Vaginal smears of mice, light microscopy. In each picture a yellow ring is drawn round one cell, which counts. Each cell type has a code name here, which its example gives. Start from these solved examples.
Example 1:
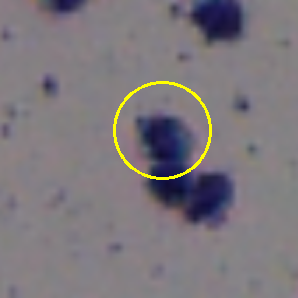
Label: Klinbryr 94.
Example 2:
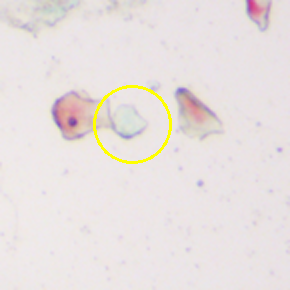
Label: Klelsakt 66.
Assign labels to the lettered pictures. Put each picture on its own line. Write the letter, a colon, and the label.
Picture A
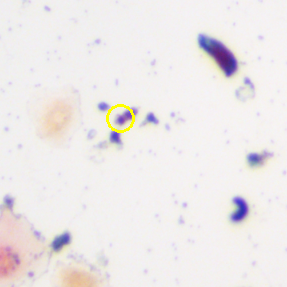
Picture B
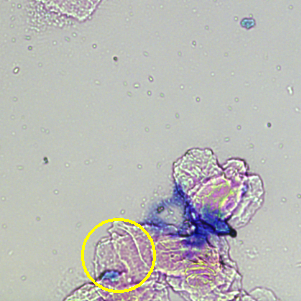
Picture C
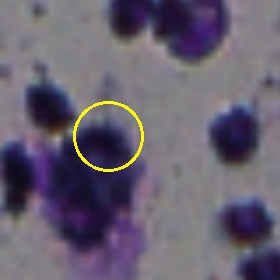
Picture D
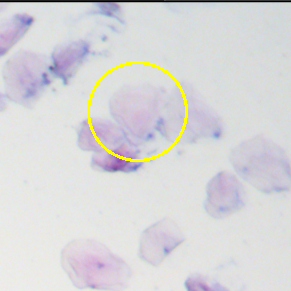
A: Klinbryr 94.
B: Klelsakt 66.
C: Klinbryr 94.
D: Klelsakt 66.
